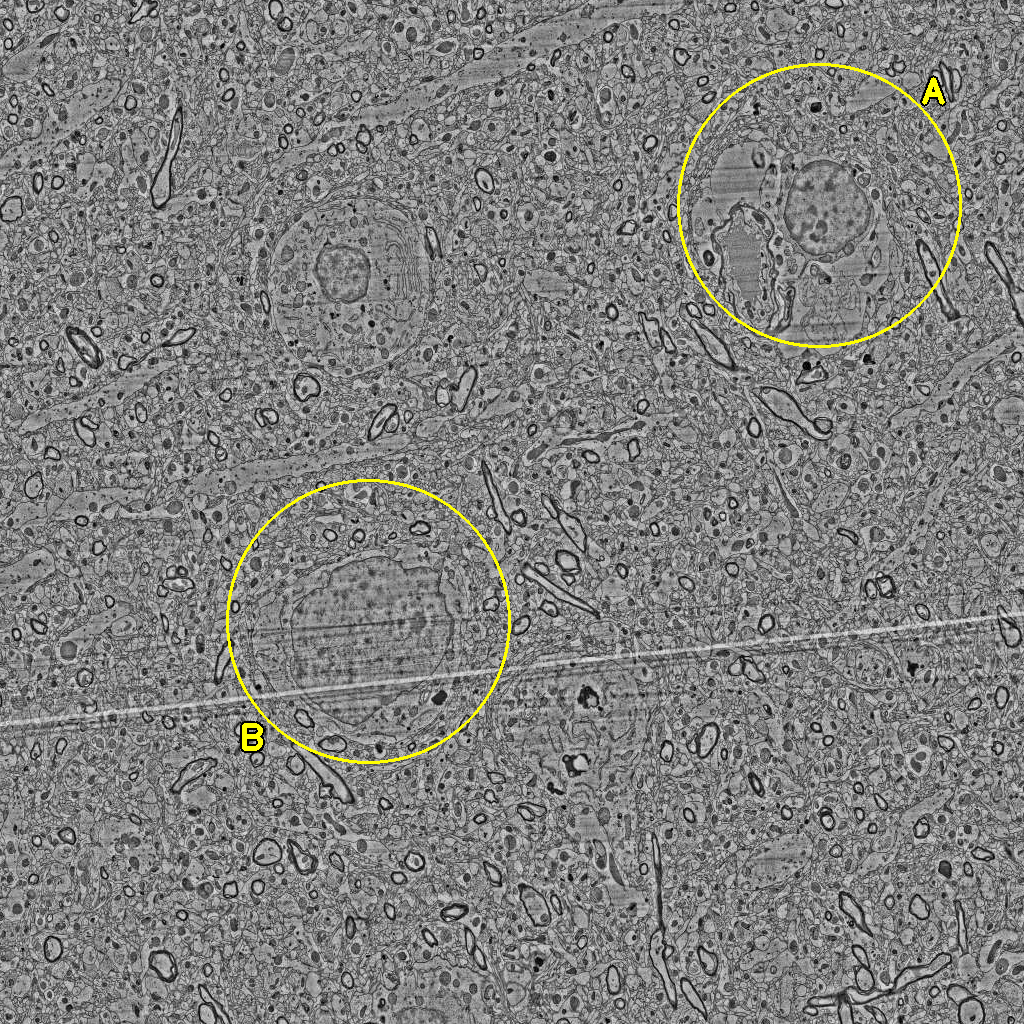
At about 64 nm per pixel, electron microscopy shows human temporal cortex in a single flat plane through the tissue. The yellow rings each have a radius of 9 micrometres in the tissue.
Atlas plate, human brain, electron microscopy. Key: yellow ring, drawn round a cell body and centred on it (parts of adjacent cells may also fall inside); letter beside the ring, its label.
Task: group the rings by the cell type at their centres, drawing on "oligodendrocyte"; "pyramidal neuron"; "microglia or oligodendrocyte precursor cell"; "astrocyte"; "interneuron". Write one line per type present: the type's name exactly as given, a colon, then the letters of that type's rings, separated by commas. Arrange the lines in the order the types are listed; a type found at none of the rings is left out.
oligodendrocyte: A
interneuron: B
